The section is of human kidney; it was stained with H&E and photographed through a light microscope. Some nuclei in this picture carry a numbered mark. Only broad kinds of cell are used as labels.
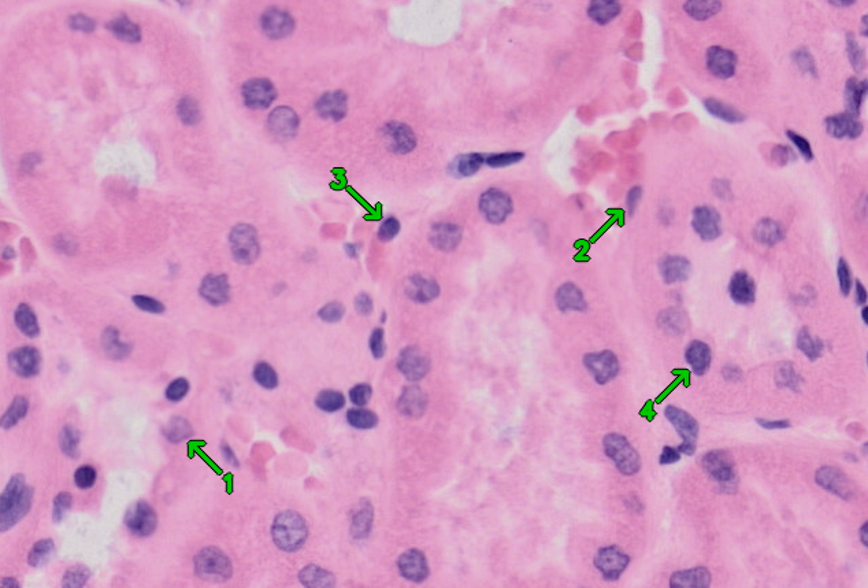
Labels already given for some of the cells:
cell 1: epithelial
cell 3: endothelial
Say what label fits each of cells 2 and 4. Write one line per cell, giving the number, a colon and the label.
2: endothelial
4: epithelial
